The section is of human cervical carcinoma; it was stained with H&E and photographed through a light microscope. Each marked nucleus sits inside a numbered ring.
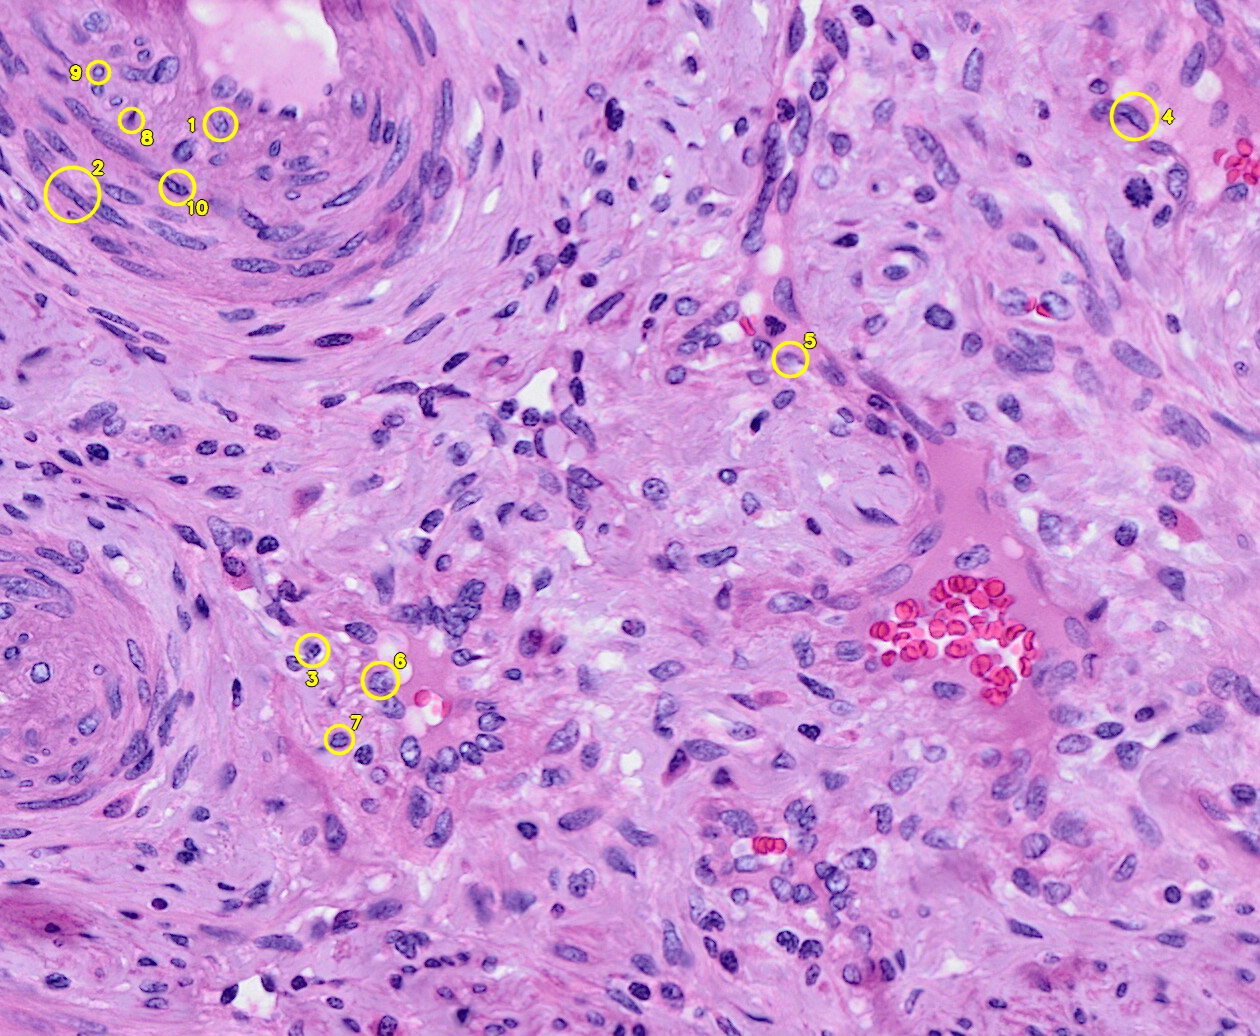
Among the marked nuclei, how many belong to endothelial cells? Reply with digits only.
3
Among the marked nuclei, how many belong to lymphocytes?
1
